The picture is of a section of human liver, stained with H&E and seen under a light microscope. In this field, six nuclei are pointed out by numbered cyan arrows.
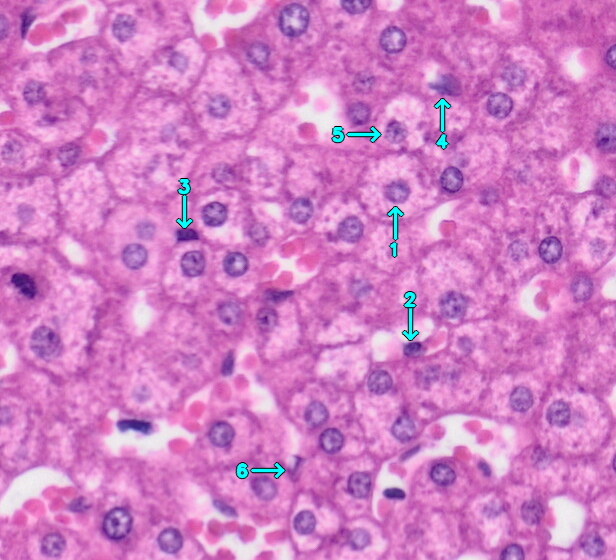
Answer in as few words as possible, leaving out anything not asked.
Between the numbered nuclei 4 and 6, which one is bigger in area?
4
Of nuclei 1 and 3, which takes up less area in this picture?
3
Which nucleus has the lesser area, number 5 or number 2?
2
